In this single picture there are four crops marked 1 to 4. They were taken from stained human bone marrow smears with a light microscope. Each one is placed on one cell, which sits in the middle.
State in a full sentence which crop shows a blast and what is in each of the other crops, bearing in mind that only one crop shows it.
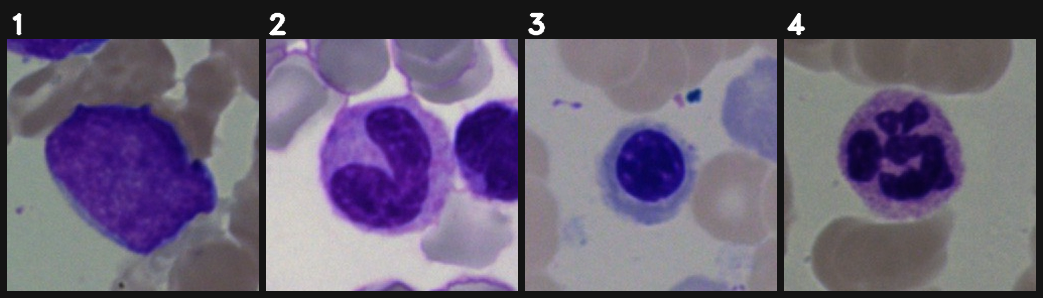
In crop 1 the central cell is a blast, while crop 2 is a band neutrophil, crop 3 is an erythroblast and crop 4 is a segmented neutrophil.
